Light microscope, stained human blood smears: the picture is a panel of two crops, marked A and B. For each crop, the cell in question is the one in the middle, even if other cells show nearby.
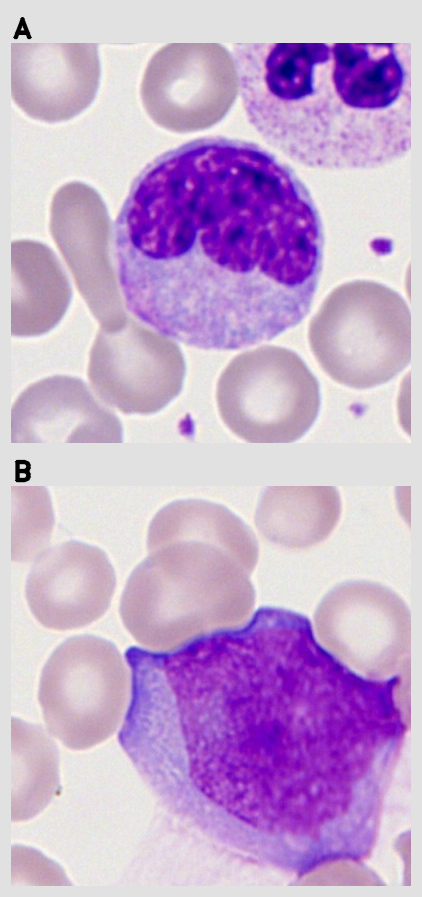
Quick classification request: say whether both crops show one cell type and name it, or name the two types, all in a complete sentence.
No, the assignment should read crop A, a monocyte; crop B, a myeloblast.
